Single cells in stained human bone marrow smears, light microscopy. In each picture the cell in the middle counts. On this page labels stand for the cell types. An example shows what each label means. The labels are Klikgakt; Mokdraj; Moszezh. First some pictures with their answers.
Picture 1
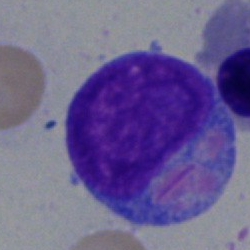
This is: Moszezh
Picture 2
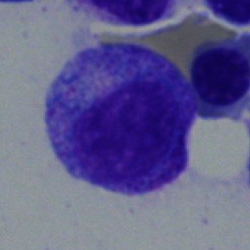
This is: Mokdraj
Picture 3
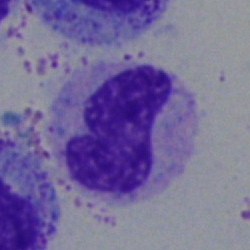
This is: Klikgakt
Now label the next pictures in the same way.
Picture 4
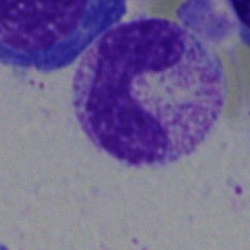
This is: Klikgakt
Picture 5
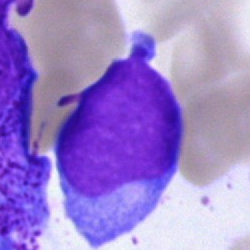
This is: Moszezh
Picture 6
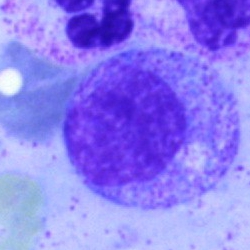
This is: Mokdraj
